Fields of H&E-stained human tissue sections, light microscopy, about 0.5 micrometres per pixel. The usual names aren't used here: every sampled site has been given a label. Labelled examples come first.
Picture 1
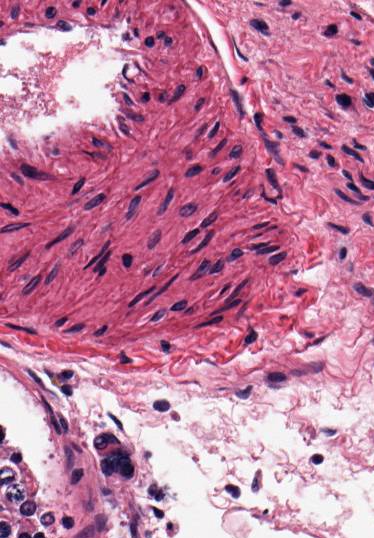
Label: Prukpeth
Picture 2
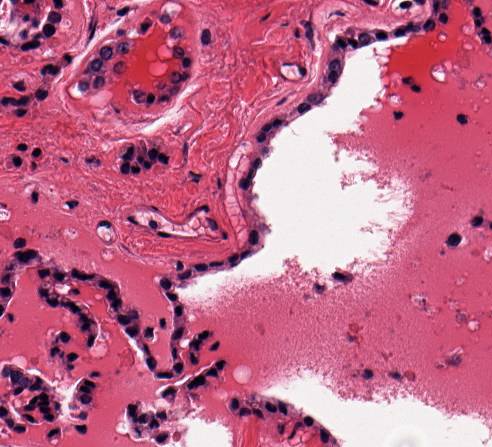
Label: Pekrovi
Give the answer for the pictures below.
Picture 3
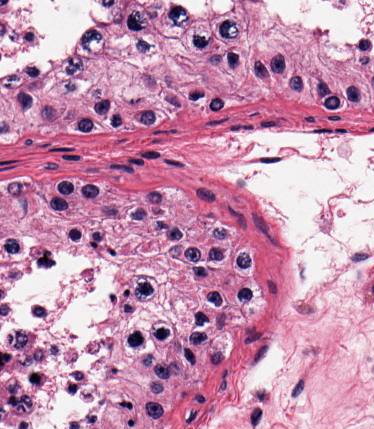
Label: Prukpeth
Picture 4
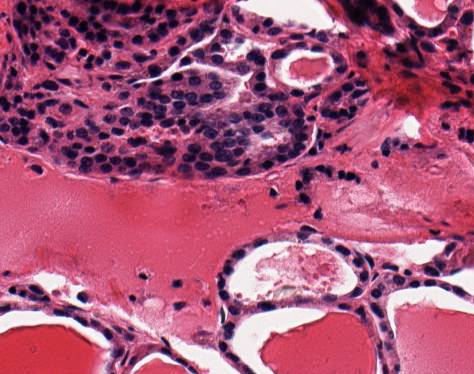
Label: Pekrovi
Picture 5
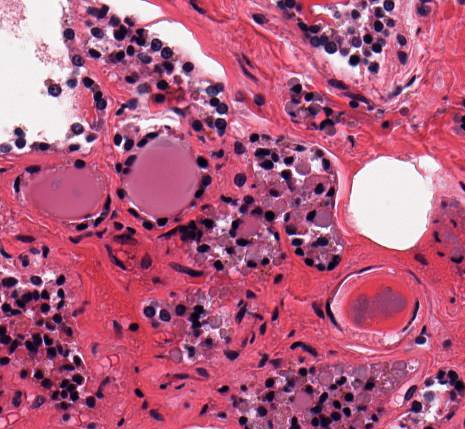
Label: Pekrovi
